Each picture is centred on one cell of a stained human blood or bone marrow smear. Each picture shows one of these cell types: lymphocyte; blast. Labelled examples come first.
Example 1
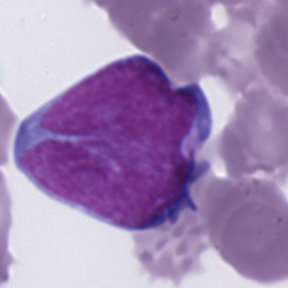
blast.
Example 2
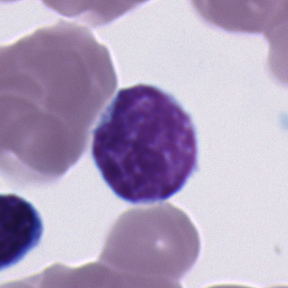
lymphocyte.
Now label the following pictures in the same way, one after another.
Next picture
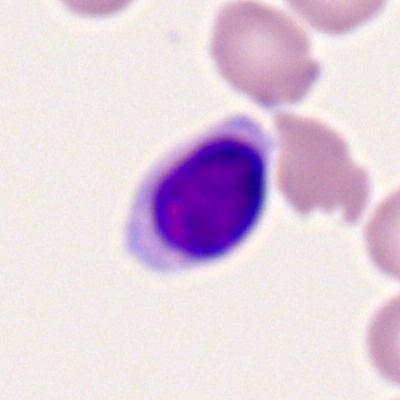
lymphocyte.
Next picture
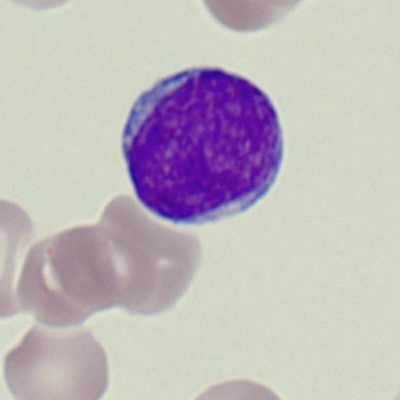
blast.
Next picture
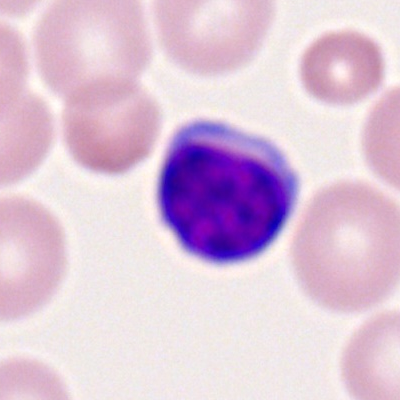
lymphocyte.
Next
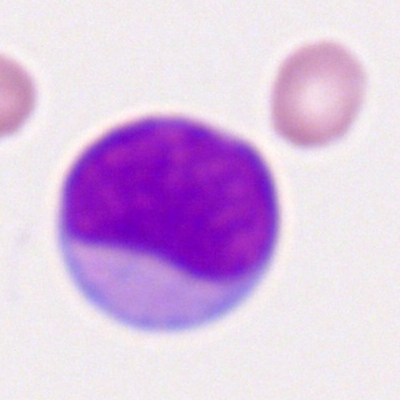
blast.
